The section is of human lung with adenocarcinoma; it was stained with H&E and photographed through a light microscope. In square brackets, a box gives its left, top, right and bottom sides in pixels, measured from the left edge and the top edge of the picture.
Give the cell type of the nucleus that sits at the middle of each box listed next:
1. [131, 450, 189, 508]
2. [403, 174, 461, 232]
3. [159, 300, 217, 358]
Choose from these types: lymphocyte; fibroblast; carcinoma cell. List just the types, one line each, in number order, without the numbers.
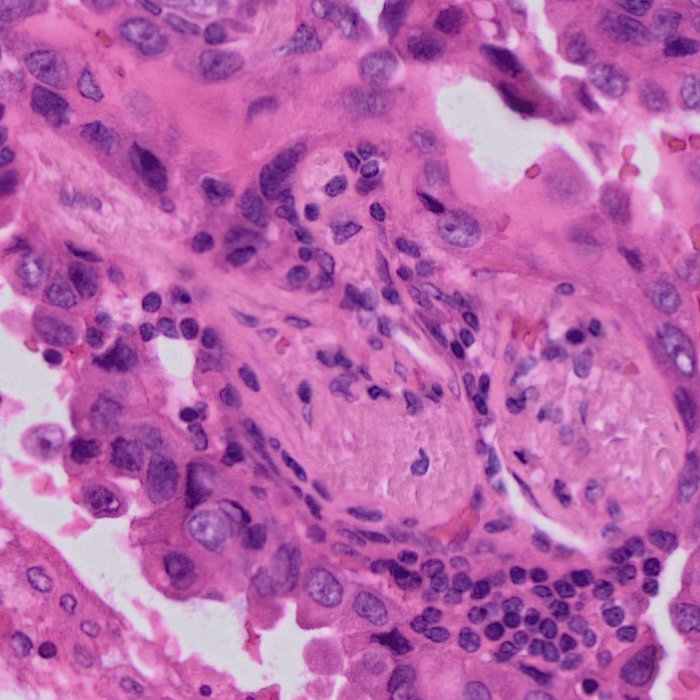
carcinoma cell
carcinoma cell
lymphocyte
